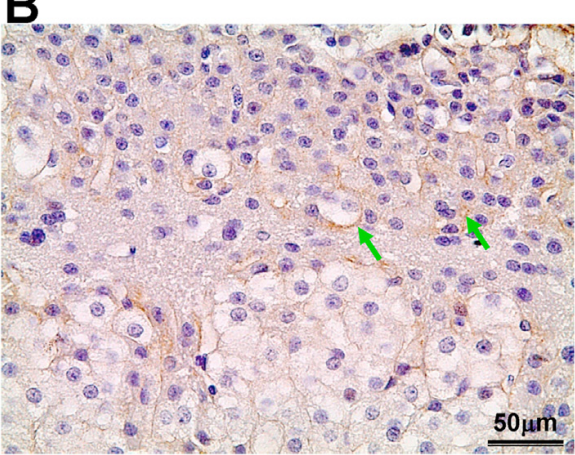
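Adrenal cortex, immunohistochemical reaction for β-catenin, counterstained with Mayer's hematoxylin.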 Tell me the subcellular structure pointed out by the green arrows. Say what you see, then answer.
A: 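Membrane. The arrows point at thin brown lines running along the borders between cells. The cytoplasm inside these borders is pale.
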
